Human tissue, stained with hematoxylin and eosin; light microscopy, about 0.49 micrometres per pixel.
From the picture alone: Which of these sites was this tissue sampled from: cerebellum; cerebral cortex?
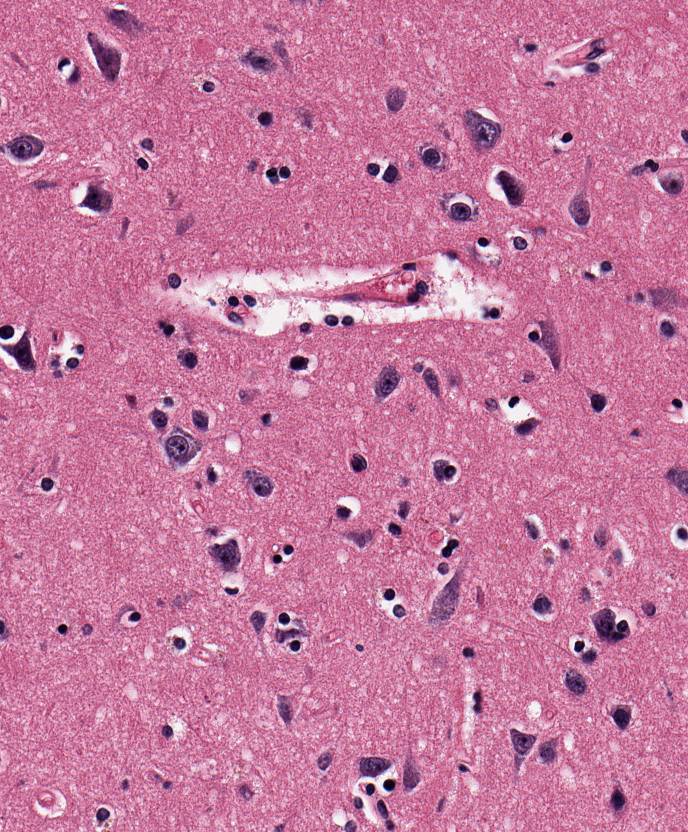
cerebral cortex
